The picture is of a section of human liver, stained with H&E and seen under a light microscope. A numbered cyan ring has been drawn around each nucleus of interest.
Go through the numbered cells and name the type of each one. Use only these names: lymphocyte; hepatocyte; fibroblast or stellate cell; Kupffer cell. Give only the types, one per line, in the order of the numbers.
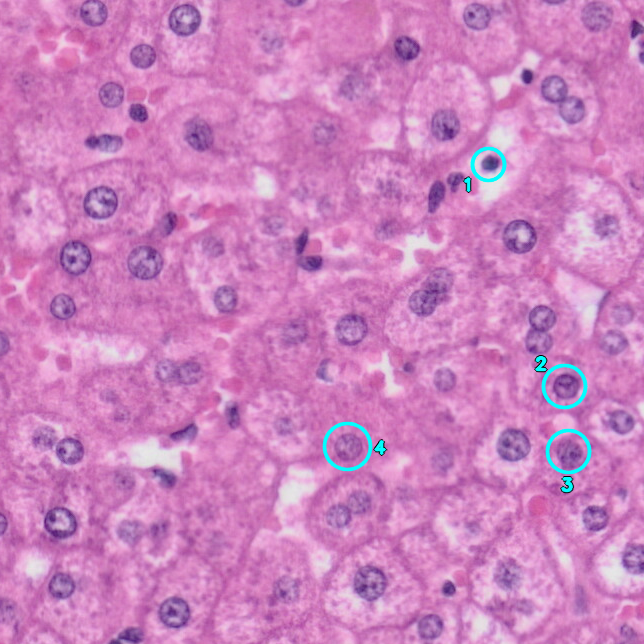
lymphocyte
hepatocyte
hepatocyte
hepatocyte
